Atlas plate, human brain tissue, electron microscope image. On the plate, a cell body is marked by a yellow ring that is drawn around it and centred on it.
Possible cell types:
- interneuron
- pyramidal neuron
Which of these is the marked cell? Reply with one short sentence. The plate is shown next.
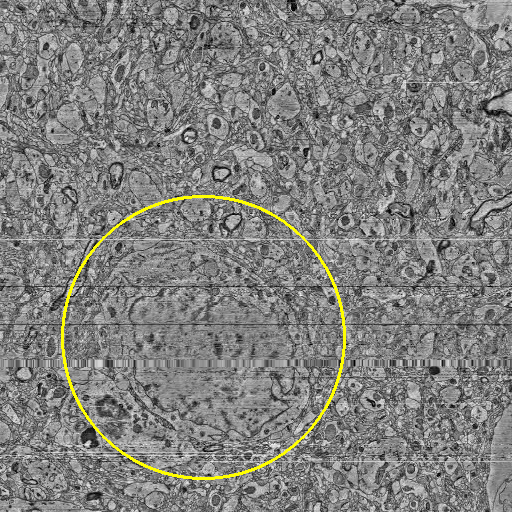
The marked cell is an interneuron.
